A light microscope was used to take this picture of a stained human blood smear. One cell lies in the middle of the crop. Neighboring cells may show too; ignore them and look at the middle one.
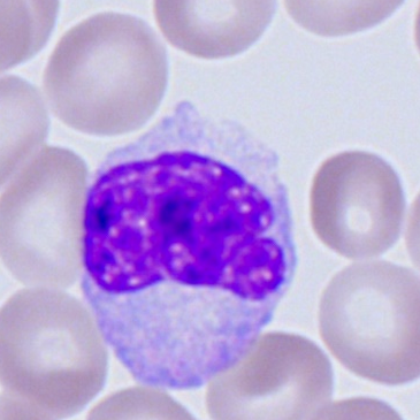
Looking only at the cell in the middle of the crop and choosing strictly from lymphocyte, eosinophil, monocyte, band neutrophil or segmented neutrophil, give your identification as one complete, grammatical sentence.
The cell in the middle of this crop is a monocyte.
